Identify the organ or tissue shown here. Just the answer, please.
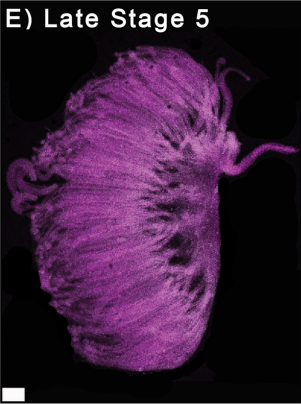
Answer: Ovaries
